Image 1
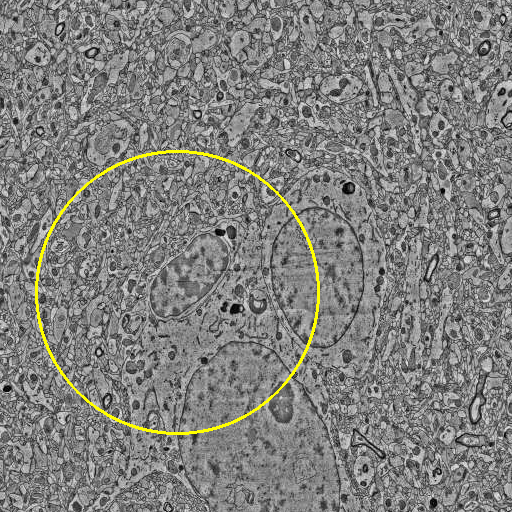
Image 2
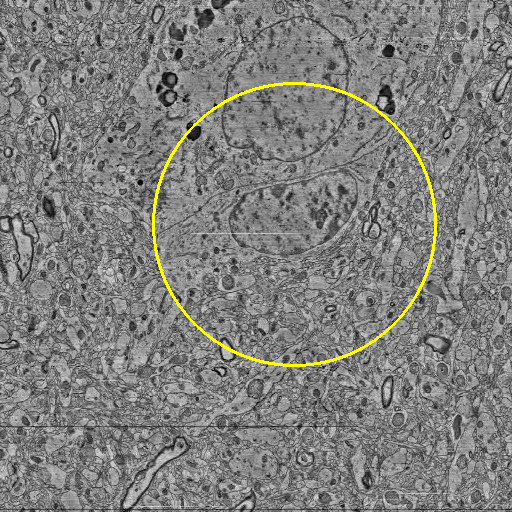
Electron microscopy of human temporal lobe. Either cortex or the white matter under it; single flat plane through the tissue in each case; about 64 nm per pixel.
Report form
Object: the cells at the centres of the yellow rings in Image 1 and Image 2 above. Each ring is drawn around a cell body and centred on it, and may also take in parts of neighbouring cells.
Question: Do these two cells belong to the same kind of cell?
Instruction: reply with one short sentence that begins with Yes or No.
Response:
Yes, both belong to the same kind of cell.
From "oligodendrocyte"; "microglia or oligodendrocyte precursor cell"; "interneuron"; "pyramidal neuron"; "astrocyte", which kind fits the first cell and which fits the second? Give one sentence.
Both pictures show a microglial cell or oligodendrocyte precursor cell at the centre of the ring.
